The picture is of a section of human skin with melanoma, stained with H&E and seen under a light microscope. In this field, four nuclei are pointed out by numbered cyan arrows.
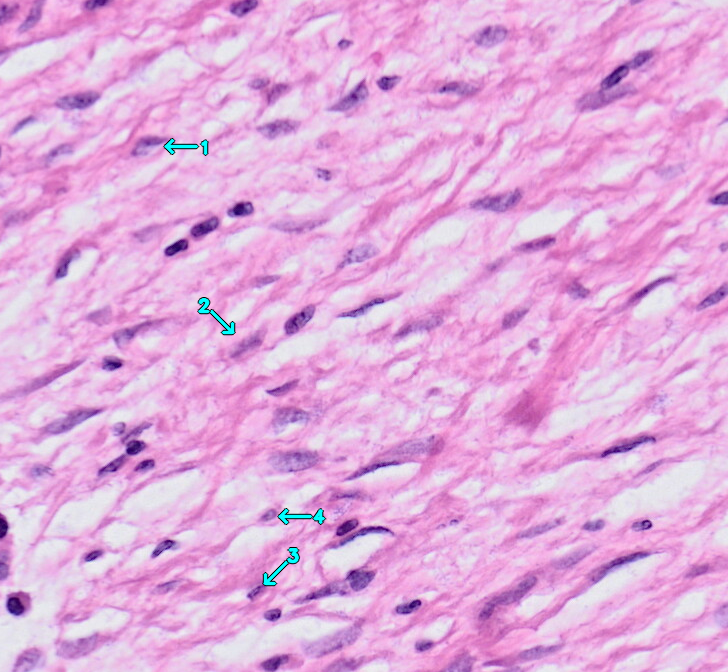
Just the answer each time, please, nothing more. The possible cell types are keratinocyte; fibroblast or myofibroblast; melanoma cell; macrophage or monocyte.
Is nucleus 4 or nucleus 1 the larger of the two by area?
1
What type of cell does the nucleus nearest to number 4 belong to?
fibroblast or myofibroblast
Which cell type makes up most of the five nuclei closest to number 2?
fibroblast or myofibroblast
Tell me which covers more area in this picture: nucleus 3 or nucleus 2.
2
